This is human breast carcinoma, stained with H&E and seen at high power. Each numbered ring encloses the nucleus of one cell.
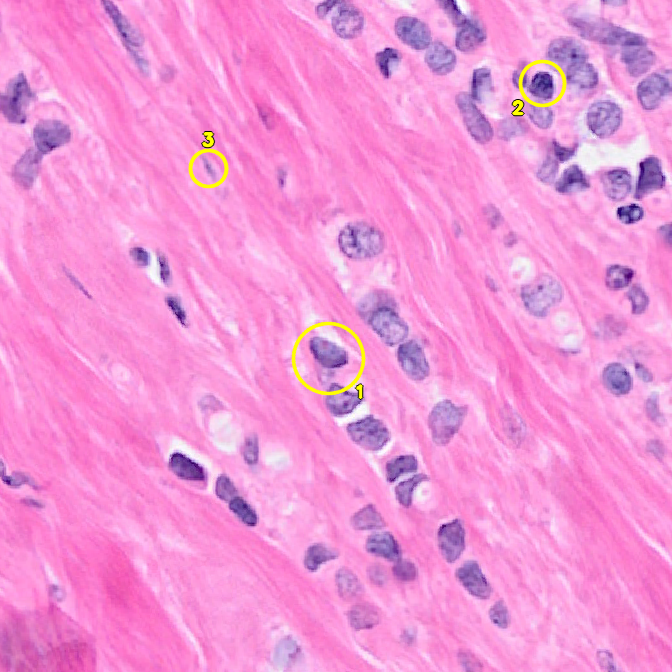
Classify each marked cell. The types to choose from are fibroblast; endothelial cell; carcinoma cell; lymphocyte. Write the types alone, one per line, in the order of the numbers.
carcinoma cell
lymphocyte
fibroblast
